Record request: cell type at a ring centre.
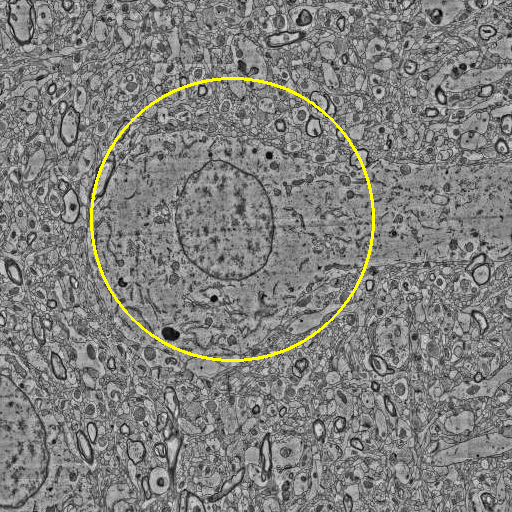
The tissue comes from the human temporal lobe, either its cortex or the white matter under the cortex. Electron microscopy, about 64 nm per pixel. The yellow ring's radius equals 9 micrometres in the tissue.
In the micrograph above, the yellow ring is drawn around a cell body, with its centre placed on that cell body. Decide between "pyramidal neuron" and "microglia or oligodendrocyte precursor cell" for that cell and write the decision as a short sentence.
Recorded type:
The cell centred in the yellow ring is a pyramidal neuron.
